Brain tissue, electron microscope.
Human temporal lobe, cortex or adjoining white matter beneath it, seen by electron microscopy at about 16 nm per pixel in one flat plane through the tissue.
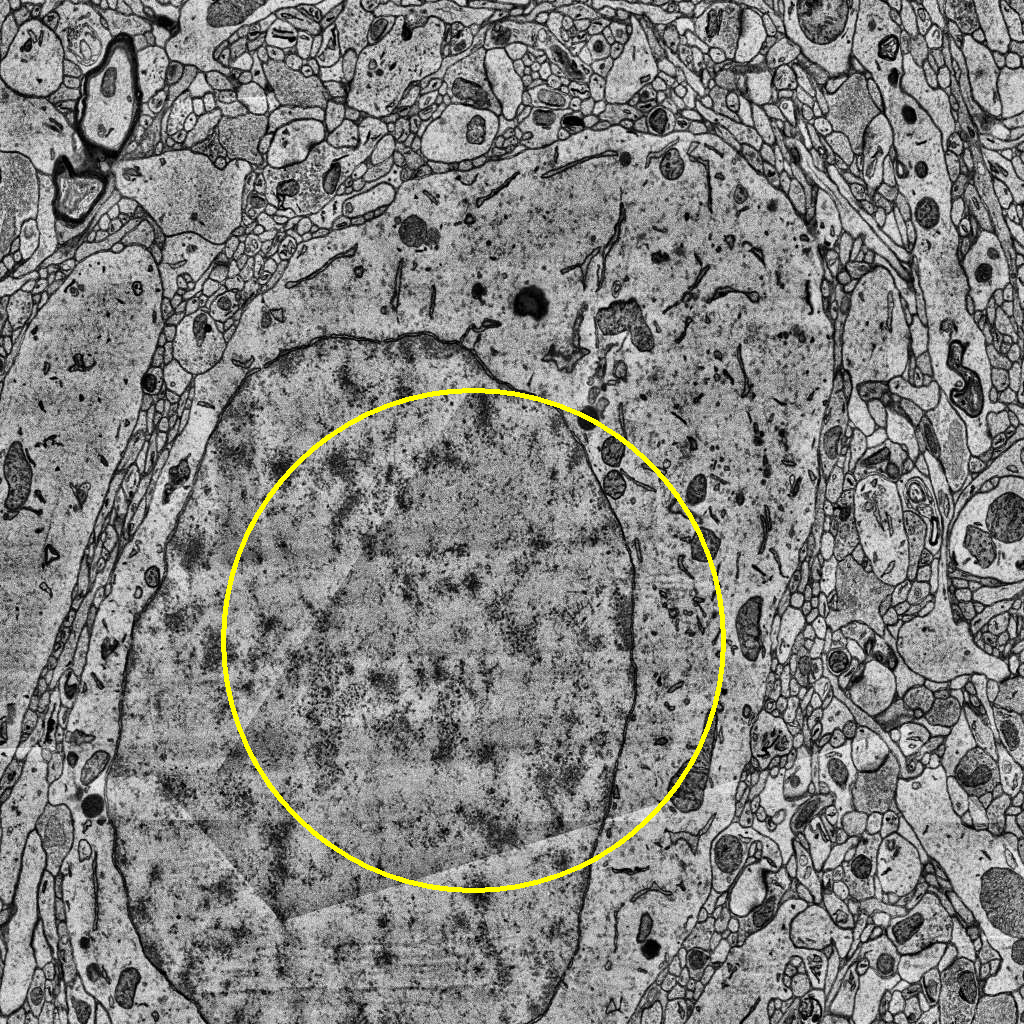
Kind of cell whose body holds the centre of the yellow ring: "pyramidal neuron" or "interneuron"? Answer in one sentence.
The ring's centre falls on a pyramidal neuron.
